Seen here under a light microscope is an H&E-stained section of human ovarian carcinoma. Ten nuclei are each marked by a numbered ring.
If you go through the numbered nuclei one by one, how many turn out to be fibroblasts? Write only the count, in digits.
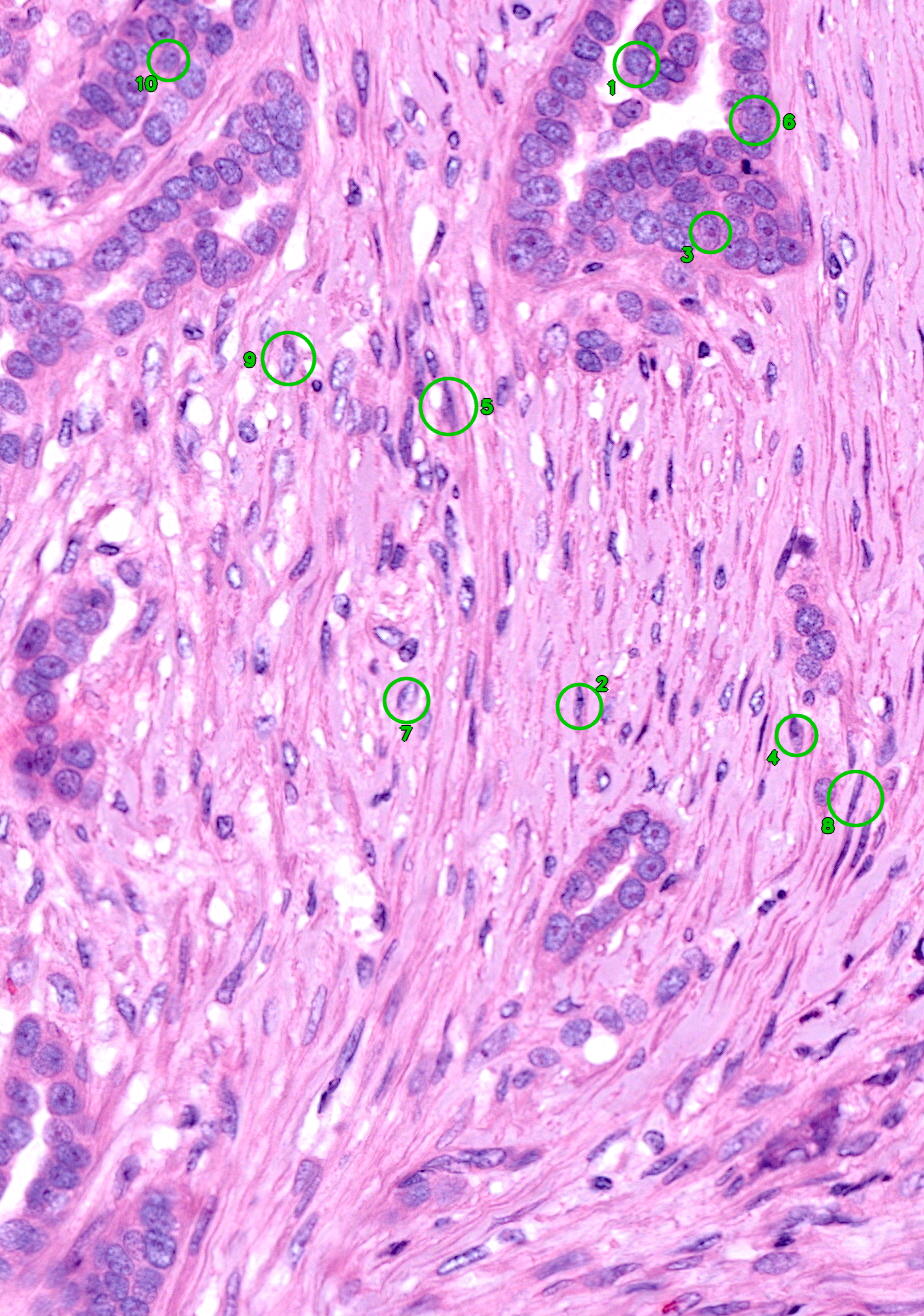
6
